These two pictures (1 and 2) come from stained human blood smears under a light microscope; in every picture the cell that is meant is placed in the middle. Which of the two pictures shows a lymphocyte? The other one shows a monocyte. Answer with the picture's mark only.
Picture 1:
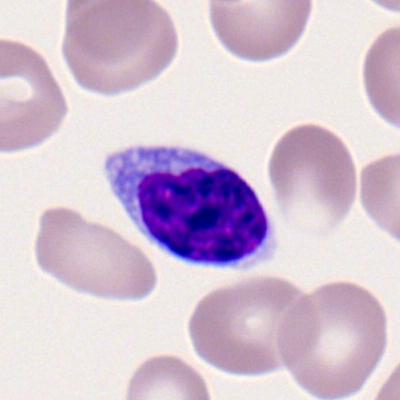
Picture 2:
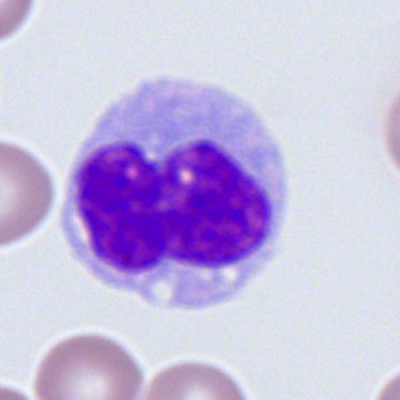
1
